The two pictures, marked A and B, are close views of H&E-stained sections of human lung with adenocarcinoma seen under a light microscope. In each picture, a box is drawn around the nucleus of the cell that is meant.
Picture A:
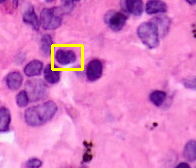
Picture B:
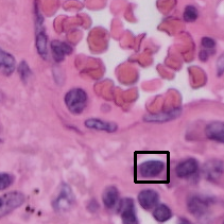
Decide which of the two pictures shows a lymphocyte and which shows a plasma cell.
A: lymphocyte
B: plasma cell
